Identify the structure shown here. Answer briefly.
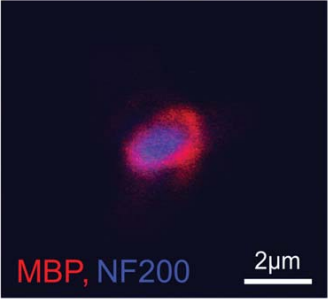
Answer: A myelinated axon imaged in cross section.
